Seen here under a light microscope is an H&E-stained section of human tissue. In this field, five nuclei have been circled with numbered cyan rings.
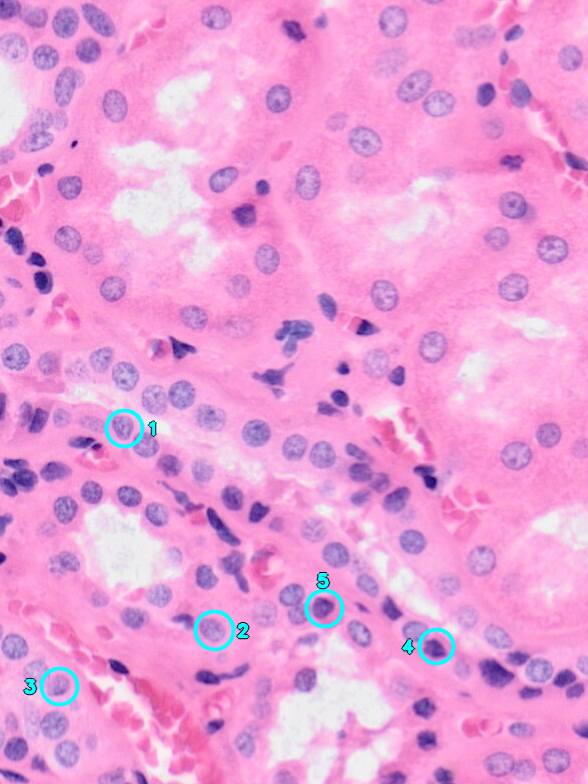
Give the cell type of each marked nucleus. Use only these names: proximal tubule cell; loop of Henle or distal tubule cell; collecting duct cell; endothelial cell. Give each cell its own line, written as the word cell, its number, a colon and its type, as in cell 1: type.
cell 1: collecting duct cell
cell 2: loop of Henle or distal tubule cell
cell 3: collecting duct cell
cell 4: collecting duct cell
cell 5: loop of Henle or distal tubule cell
